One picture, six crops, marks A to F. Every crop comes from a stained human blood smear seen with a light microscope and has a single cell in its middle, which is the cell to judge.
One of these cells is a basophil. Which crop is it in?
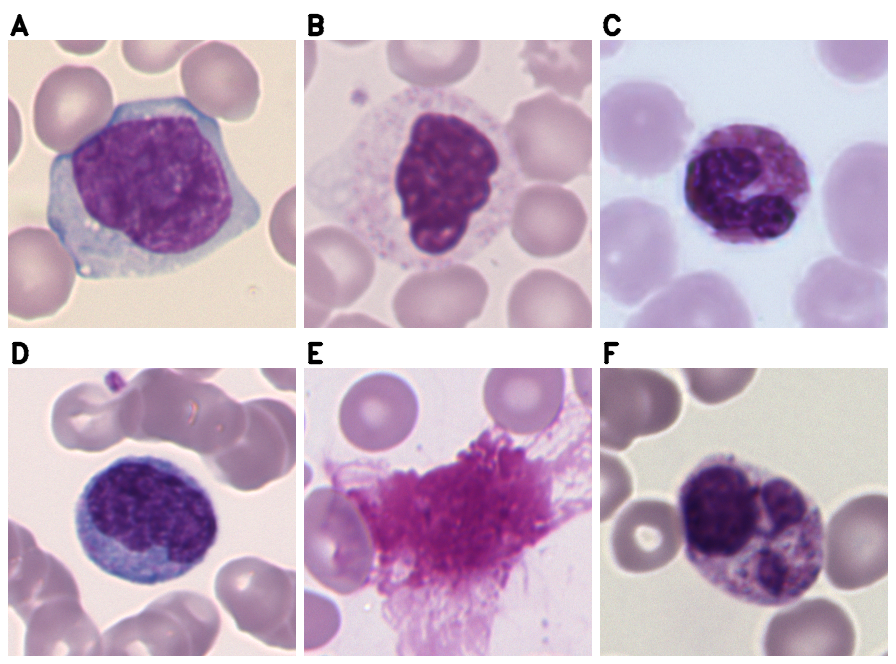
F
